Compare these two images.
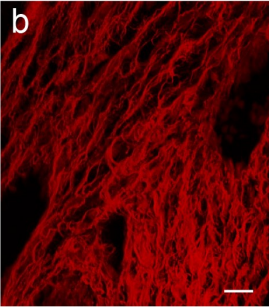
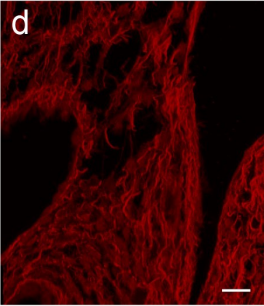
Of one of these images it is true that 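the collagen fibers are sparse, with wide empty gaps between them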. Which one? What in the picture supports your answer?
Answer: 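The second image. First image: a dense red meshwork of fibers fills most of the field, with only a few small dark gaps.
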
